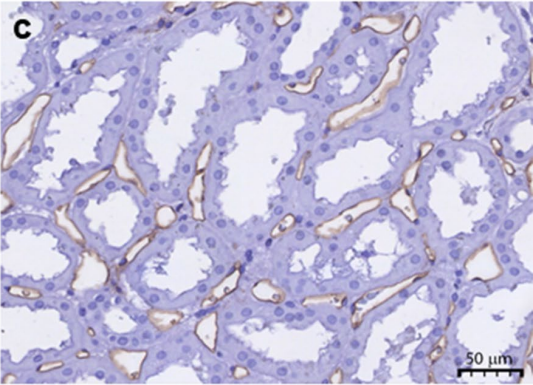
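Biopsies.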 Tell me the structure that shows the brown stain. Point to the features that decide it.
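Brown-lined thin-walled channels lie in the narrow spaces between tubules. The tubules themselves are blue and unstained.
Hence: peritubular capillaries.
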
